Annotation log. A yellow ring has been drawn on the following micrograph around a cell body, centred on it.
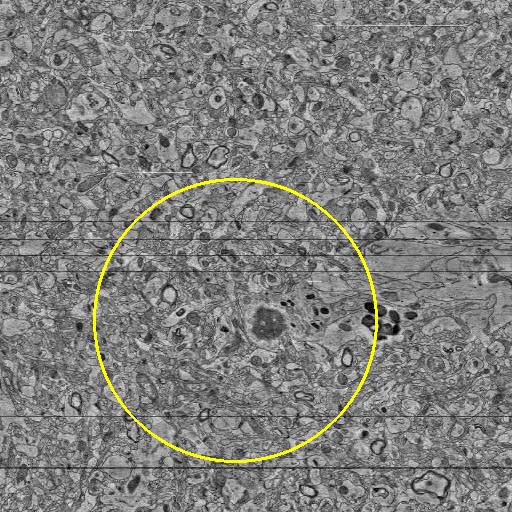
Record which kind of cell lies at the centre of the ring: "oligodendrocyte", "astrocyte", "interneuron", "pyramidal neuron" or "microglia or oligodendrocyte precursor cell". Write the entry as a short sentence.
The cell the ring is centred on is a microglial cell or oligodendrocyte precursor cell.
